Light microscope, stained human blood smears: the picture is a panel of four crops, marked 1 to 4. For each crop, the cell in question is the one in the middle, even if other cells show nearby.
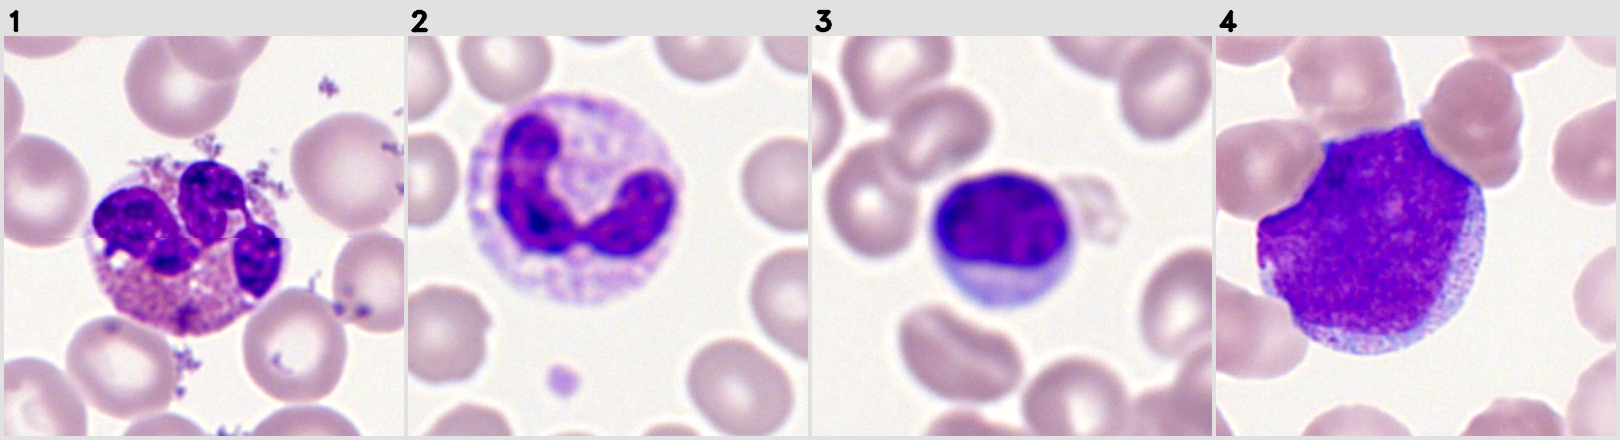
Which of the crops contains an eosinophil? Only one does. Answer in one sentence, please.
The cell at the center of crop 1 is the one that is an eosinophil.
